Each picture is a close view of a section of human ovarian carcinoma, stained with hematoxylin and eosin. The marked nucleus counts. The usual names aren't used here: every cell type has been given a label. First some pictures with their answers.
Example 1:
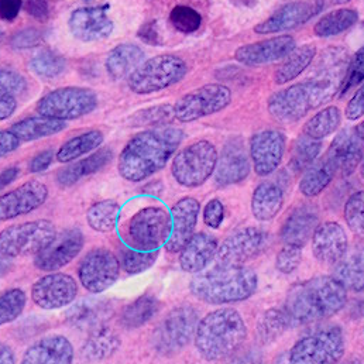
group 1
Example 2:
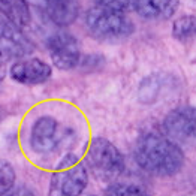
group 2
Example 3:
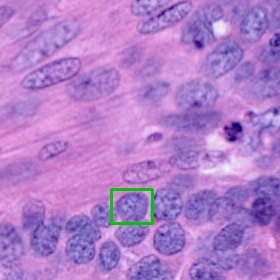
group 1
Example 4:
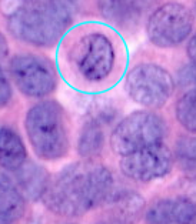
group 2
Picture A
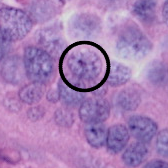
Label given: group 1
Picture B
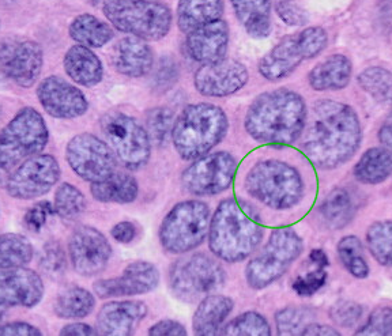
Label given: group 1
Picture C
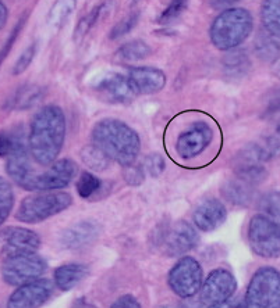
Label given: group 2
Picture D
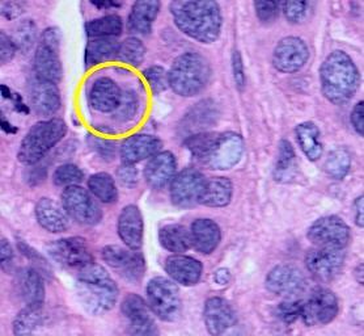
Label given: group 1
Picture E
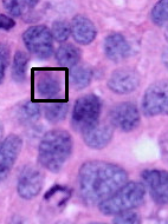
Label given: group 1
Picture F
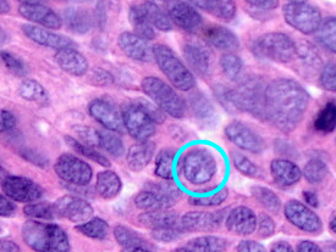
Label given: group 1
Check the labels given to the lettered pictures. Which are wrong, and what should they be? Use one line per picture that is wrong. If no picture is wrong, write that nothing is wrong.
No label is wrong.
